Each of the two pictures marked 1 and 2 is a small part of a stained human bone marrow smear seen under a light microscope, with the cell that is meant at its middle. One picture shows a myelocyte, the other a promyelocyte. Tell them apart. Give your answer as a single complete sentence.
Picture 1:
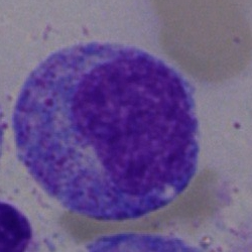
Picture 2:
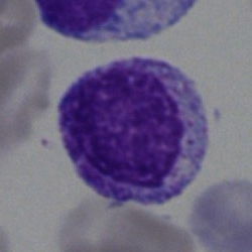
In picture 1 the cell is a promyelocyte; in picture 2, a myelocyte.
